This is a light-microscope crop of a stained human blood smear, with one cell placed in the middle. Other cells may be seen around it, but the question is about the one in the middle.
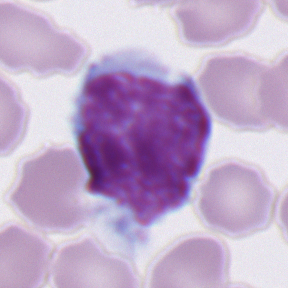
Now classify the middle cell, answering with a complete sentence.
Answering briefly, the cell in the middle is a typical lymphocyte.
